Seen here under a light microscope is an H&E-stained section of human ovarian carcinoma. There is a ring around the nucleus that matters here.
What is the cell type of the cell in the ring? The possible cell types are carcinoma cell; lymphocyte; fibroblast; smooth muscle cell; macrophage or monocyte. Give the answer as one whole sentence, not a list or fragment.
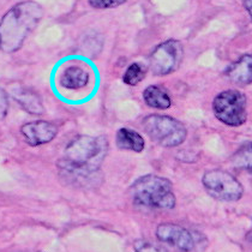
Assigned to a cell type, the cell in the ring is a lymphocyte.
